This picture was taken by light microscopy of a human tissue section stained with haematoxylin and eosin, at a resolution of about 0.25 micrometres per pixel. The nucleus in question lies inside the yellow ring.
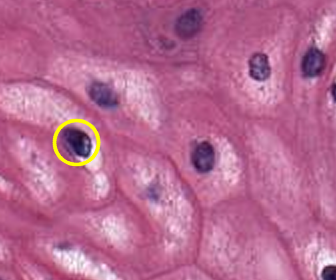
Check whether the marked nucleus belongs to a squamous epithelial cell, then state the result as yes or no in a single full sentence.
Yes, the marked nucleus is in a squamous epithelial cell.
